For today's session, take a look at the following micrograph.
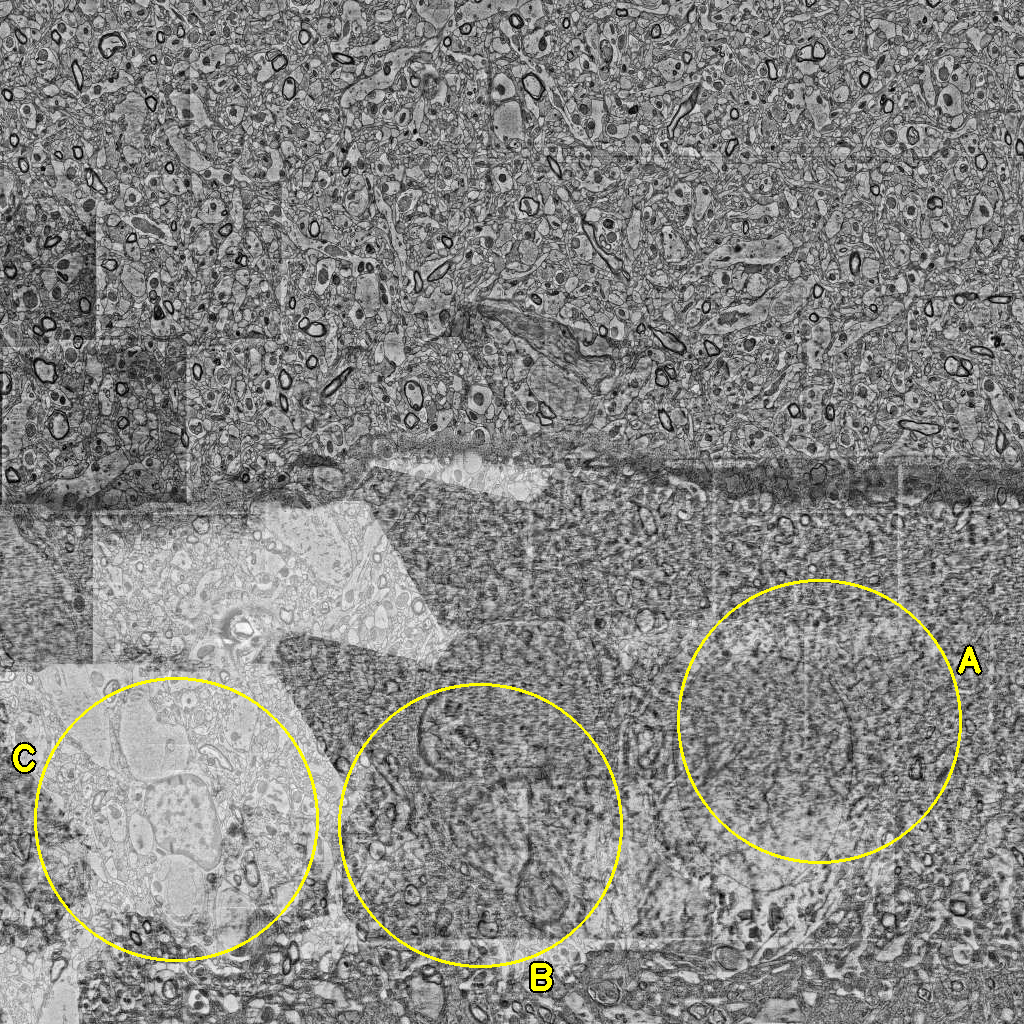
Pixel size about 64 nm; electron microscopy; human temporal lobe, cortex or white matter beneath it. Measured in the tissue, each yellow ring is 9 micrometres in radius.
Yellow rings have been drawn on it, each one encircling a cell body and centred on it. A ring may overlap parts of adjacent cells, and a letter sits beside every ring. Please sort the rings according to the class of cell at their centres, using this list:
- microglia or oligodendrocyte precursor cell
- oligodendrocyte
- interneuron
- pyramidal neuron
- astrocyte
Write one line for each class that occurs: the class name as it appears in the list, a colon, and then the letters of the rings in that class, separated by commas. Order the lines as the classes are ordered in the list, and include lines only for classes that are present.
microglia or oligodendrocyte precursor cell: C
oligodendrocyte: B
pyramidal neuron: A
